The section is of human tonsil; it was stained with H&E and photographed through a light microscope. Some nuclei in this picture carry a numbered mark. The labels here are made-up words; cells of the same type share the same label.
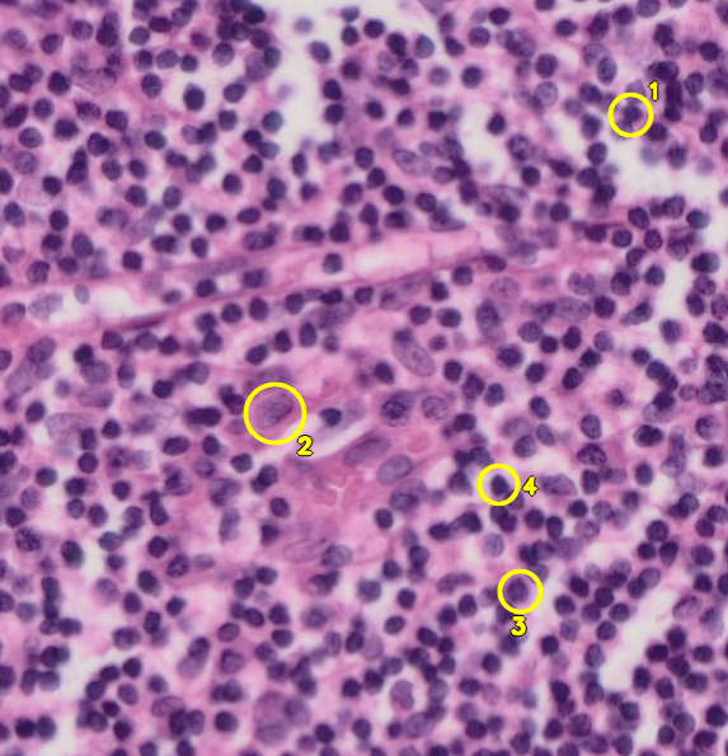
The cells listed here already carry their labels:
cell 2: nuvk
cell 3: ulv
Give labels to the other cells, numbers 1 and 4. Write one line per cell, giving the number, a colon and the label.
1: ulv
4: ulv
